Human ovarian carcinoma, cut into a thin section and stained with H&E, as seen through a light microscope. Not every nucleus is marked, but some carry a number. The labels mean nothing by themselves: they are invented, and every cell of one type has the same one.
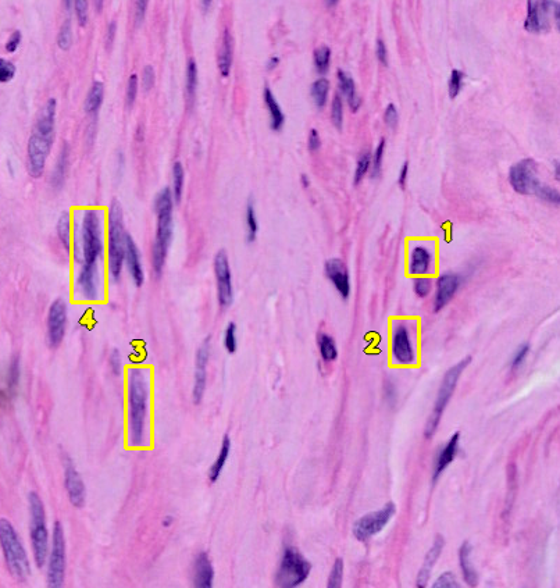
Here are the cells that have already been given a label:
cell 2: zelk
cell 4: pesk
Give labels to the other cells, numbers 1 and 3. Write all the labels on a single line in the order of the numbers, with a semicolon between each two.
zelk; zelk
